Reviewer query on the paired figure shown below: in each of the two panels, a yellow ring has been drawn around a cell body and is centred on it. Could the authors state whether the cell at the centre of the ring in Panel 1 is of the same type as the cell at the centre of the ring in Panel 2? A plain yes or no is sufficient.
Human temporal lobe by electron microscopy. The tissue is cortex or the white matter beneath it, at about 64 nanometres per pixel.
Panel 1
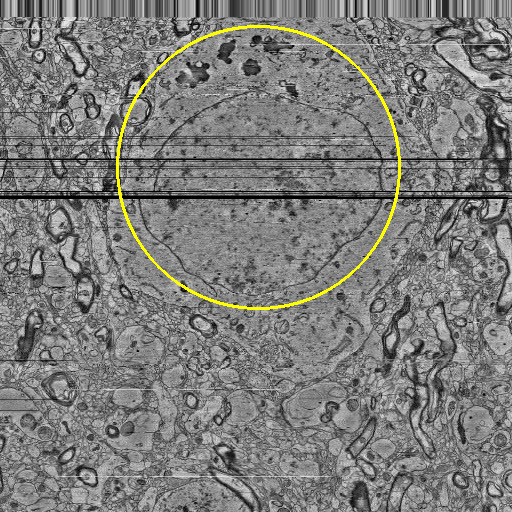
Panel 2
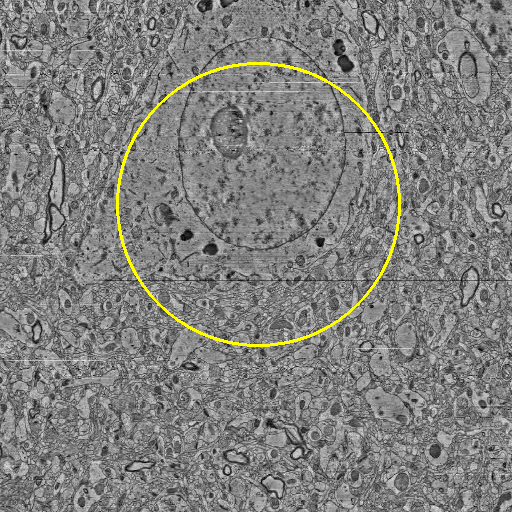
yes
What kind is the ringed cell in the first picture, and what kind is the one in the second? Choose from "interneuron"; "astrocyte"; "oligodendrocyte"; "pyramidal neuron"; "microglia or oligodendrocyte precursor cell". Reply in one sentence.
The cell in the first picture is a pyramidal neuron, and so is the one in the second.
